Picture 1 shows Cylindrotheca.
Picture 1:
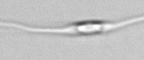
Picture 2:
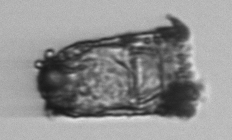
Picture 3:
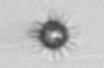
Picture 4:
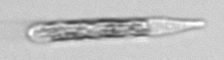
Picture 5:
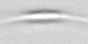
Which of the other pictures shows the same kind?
Picture 5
